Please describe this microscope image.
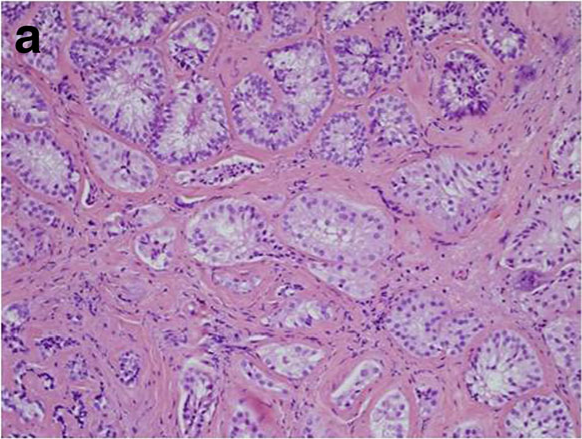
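This is gonadal tissue with seminiferous tubules lined by Sertoli cells and no spermatogenesis. The tubules are small, round to elongate, and cut in many planes. Each is lined by columnar cells with pale, finely vacuolated pink cytoplasm and oval nuclei set towards the base, their apices pointing to a narrow central lumen. No stacked germ cells are seen inside the tubules. Between the tubules lies broad pink fibrous stroma with scattered spindle-shaped nuclei.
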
